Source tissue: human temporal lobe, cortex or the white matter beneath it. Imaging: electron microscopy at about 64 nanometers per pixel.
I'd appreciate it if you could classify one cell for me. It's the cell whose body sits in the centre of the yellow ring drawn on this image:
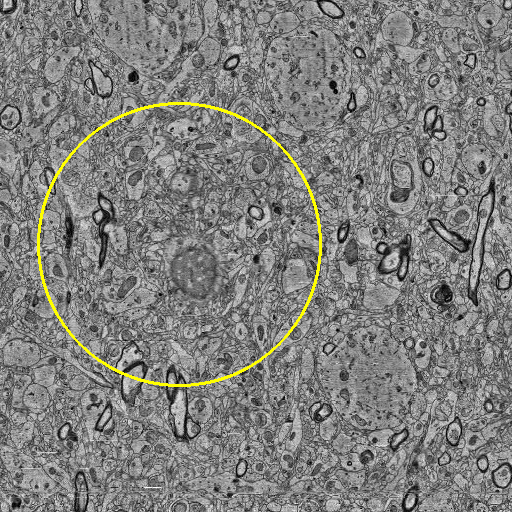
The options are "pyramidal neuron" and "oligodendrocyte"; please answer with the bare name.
oligodendrocyte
